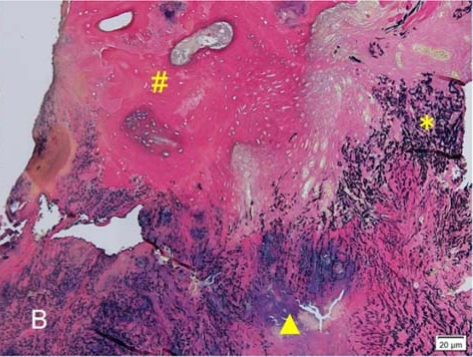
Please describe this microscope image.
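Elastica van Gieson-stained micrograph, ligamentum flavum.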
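The fibres are short, fragmented and irregularly scattered rather than forming long parallel bundles. A dense red area with cell-containing spaces lies in the upper part of the field.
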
